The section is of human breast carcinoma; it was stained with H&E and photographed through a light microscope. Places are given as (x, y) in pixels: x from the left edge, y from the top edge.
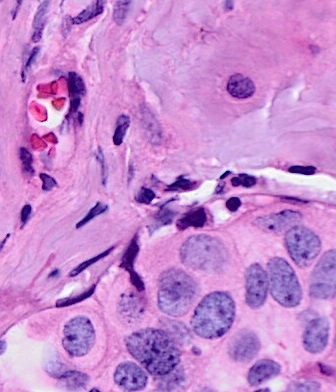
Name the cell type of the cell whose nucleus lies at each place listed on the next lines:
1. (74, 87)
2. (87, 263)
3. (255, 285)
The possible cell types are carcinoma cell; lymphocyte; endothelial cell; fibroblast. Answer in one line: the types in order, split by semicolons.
endothelial cell; fibroblast; carcinoma cell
